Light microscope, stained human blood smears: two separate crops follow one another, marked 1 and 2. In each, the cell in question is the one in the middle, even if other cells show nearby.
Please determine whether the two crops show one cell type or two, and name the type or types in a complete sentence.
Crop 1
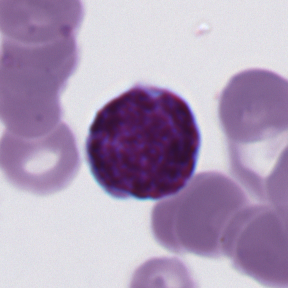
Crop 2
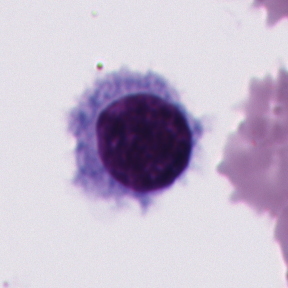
No, a hairy cell is the cell of crop 2, while a myeloblast is the cell of crop 1.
